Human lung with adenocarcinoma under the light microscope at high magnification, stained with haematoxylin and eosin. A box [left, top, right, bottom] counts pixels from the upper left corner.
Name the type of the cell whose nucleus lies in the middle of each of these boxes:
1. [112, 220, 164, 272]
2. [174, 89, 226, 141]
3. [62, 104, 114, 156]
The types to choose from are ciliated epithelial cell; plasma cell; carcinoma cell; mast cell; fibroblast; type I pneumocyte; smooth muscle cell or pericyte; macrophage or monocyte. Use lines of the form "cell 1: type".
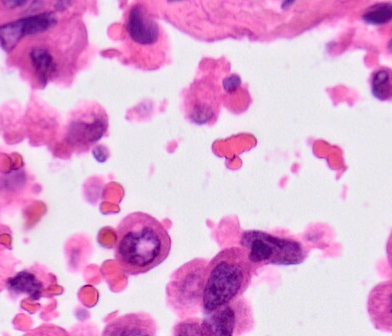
cell 1: carcinoma cell
cell 2: macrophage or monocyte
cell 3: carcinoma cell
